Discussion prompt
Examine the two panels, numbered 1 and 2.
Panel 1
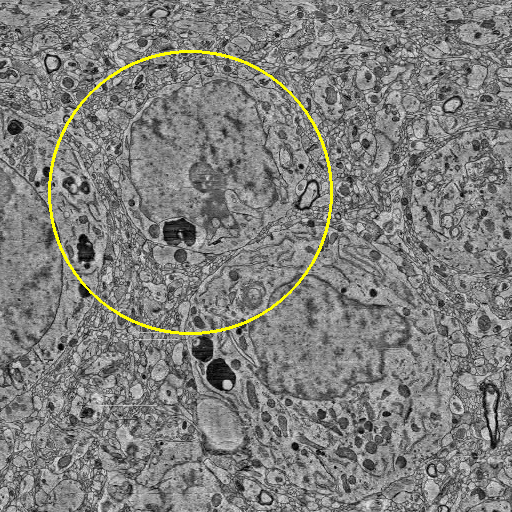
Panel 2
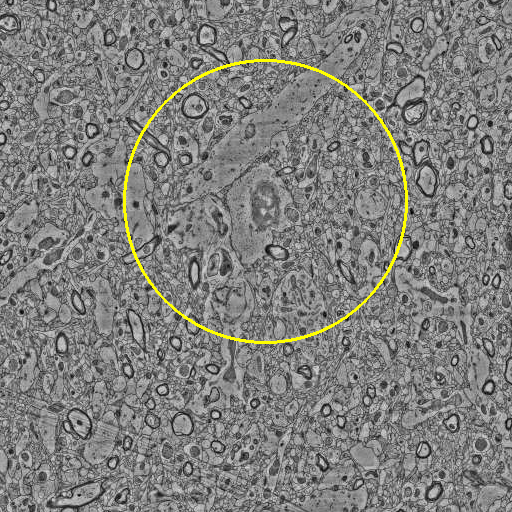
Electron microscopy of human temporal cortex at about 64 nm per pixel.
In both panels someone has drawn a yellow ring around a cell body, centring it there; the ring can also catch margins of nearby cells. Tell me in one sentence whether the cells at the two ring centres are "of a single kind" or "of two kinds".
Taken together, the two cells centred in the rings of Panels 1 and 2 are of two kinds.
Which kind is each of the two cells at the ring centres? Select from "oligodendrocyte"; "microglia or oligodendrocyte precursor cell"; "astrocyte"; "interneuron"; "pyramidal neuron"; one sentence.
The cell at the centre of the ring is an interneuron in the first picture and a microglial cell or oligodendrocyte precursor cell in the second.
